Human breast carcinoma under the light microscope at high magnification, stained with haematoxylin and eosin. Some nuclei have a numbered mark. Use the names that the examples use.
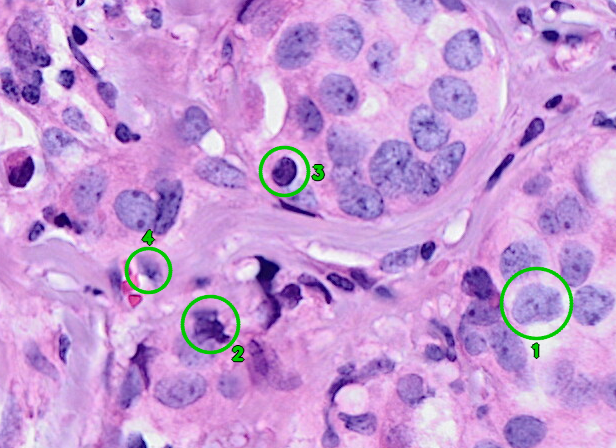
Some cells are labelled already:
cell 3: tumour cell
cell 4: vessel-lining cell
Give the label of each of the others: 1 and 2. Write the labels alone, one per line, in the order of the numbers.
tumour cell
tumour cell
